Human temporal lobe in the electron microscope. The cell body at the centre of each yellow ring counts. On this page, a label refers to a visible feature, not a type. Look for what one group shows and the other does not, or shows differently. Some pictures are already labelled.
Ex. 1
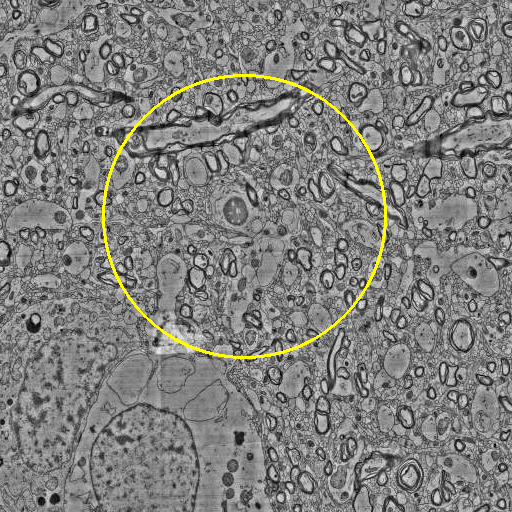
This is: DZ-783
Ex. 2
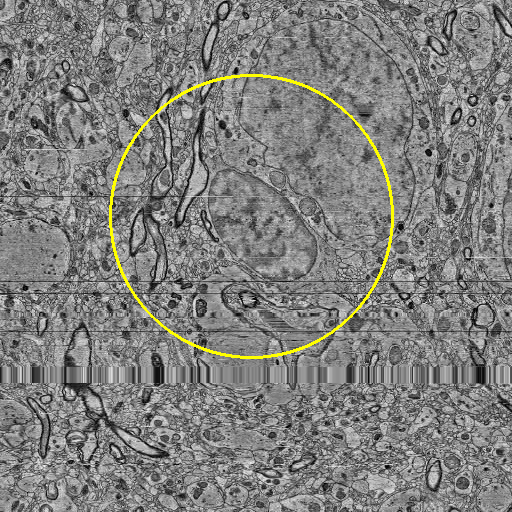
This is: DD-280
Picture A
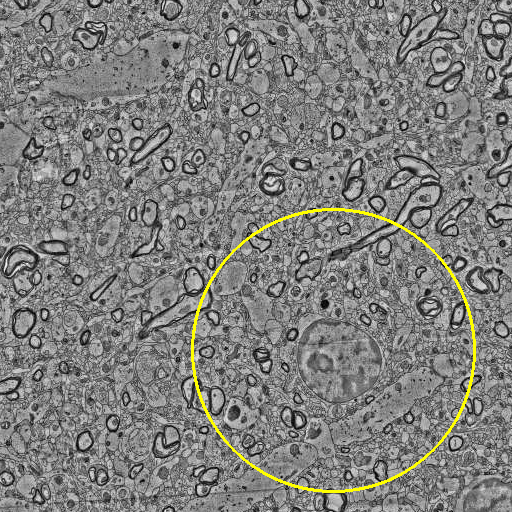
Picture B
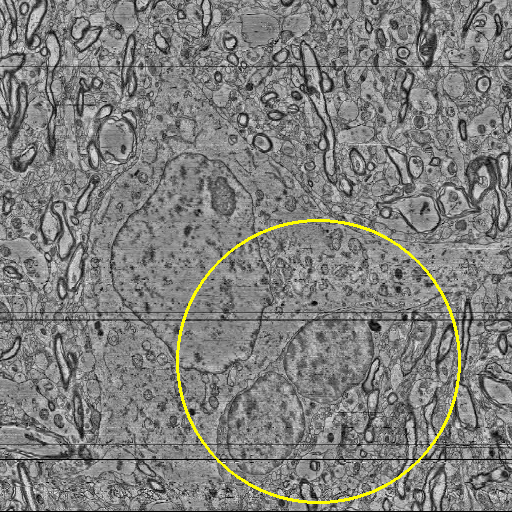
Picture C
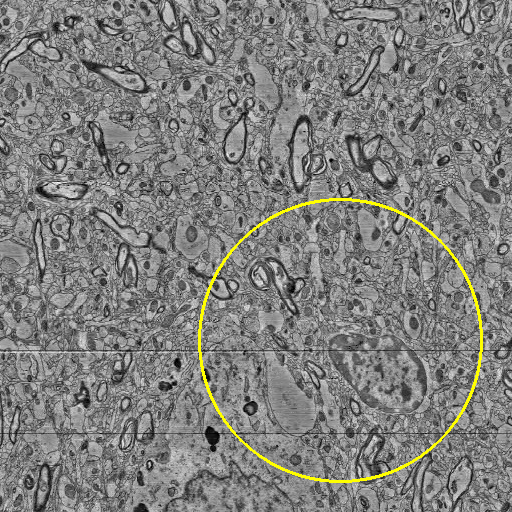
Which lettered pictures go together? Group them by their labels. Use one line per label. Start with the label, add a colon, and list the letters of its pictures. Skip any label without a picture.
DZ-783: A, B
DD-280: C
